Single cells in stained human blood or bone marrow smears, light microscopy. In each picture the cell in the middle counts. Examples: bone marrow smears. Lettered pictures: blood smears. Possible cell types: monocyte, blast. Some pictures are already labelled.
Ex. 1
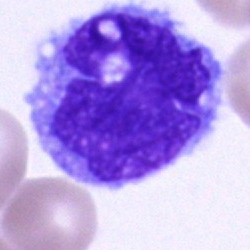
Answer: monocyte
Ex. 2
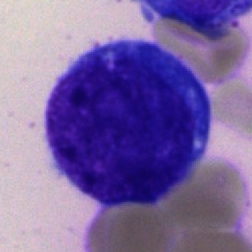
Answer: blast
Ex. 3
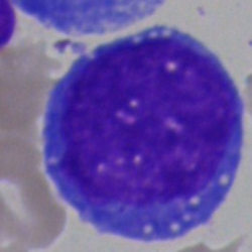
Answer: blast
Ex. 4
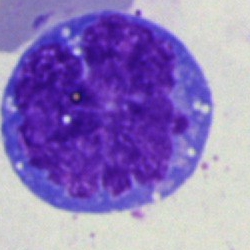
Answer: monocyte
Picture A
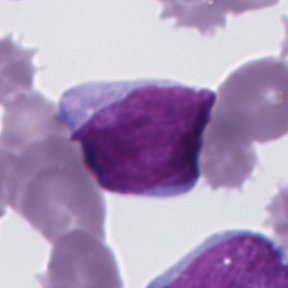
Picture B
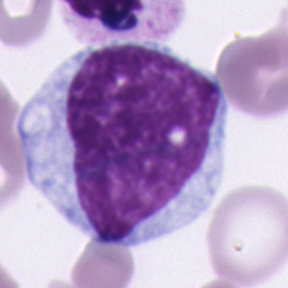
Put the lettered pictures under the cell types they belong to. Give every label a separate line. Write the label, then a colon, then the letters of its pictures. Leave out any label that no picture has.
monocyte: B
blast: A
